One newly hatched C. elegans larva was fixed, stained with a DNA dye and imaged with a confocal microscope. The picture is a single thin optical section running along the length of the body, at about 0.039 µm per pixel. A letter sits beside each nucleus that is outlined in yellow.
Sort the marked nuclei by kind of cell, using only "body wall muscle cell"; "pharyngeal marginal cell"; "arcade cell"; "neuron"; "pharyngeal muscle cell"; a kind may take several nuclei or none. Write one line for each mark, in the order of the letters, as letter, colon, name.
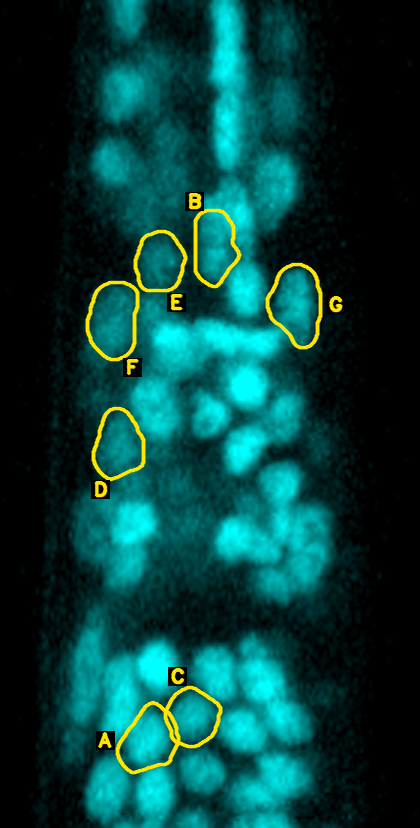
A: neuron
B: pharyngeal muscle cell
C: neuron
D: neuron
E: arcade cell
F: body wall muscle cell
G: body wall muscle cell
